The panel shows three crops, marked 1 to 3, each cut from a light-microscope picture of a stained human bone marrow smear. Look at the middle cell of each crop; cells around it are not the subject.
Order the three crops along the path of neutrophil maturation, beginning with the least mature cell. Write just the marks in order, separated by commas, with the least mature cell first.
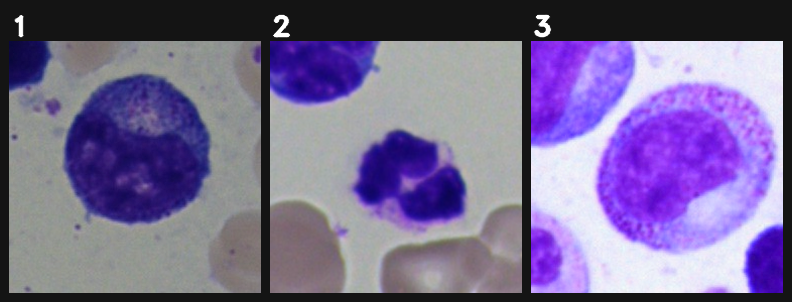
1, 3, 2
